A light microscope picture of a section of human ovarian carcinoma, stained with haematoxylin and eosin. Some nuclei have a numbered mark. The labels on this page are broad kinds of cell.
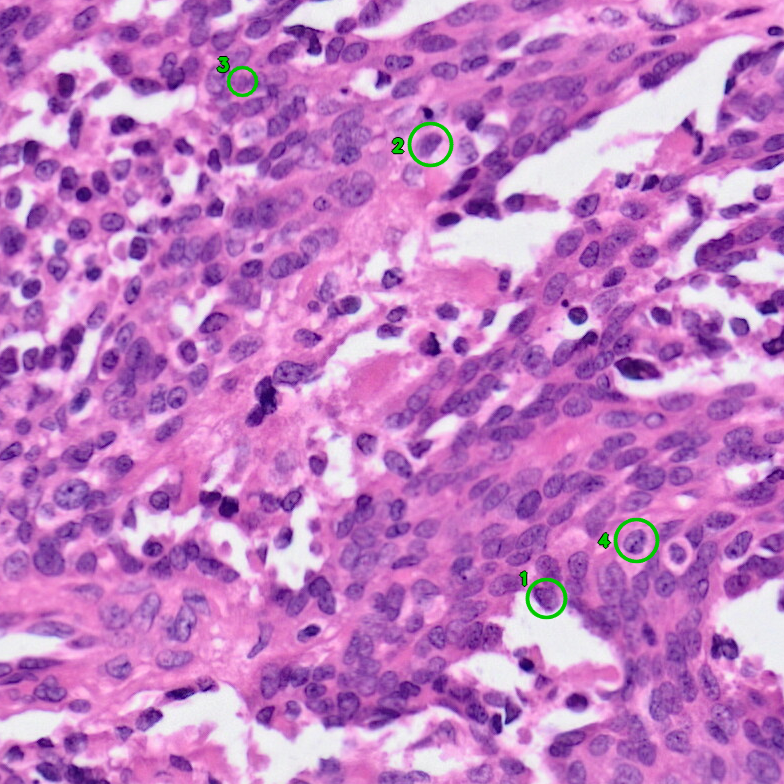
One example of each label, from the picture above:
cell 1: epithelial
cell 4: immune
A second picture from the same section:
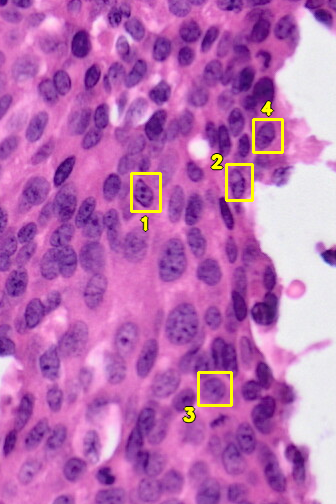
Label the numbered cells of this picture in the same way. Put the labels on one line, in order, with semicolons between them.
immune; immune; epithelial; epithelial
